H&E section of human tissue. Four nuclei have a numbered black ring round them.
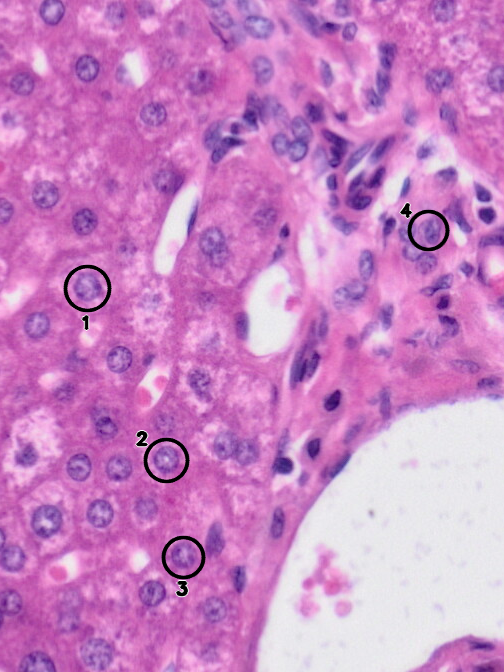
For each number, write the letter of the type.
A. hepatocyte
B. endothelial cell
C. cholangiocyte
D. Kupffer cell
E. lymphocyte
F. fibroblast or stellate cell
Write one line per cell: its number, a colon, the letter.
1: A
2: A
3: A
4: C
